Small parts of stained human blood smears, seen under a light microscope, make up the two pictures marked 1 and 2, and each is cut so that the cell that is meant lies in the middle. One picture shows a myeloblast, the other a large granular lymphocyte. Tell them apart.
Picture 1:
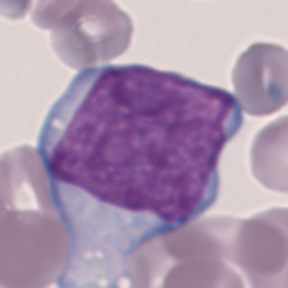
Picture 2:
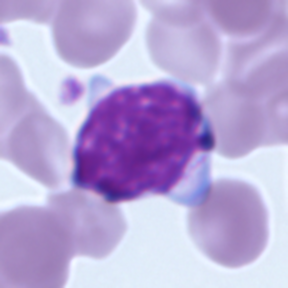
1: myeloblast
2: large granular lymphocyte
